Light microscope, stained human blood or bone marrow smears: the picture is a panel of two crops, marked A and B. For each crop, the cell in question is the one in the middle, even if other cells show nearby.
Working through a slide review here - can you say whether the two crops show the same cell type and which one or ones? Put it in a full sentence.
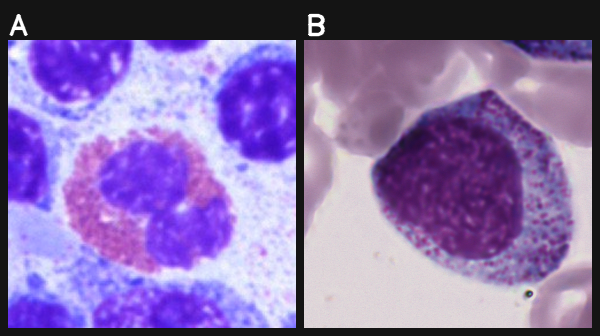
No, an eosinophil is depicted by crop A, a promyelocyte by crop B.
